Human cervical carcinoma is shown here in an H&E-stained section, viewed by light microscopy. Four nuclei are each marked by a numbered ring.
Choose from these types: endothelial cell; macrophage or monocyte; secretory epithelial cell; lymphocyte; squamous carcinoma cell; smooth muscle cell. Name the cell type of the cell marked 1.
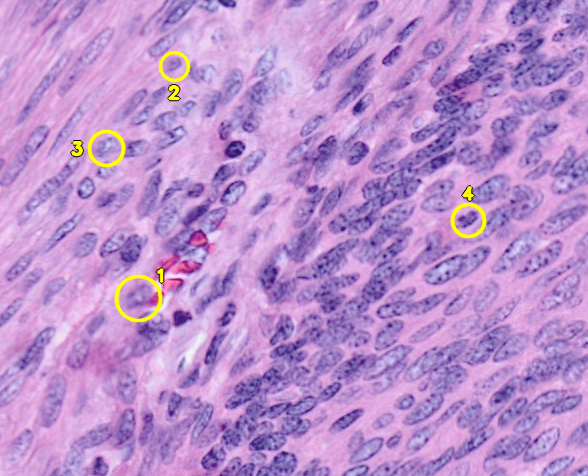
endothelial cell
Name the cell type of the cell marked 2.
smooth muscle cell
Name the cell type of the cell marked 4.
squamous carcinoma cell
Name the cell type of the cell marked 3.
smooth muscle cell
